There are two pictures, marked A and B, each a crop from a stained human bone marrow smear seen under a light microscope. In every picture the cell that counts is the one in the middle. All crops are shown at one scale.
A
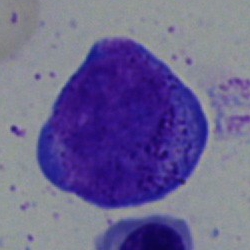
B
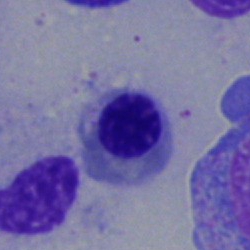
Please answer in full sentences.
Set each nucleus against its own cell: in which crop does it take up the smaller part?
The nucleus fills less of the cell in crop B than in crop A.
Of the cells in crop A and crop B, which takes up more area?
It is the cell in crop A, about 3 times as large in area as the cell in crop B.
